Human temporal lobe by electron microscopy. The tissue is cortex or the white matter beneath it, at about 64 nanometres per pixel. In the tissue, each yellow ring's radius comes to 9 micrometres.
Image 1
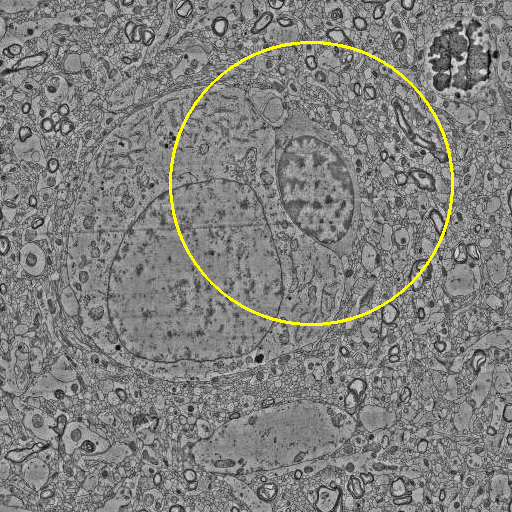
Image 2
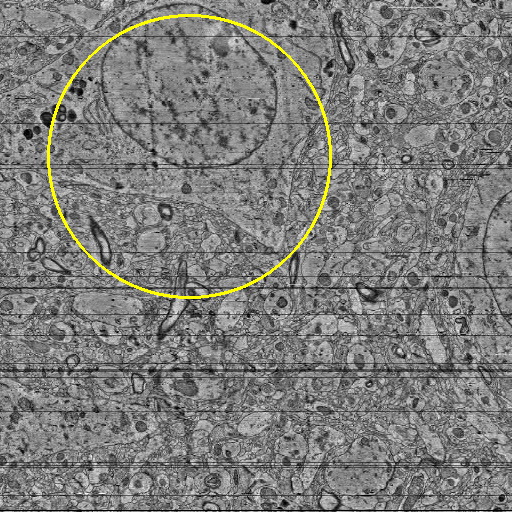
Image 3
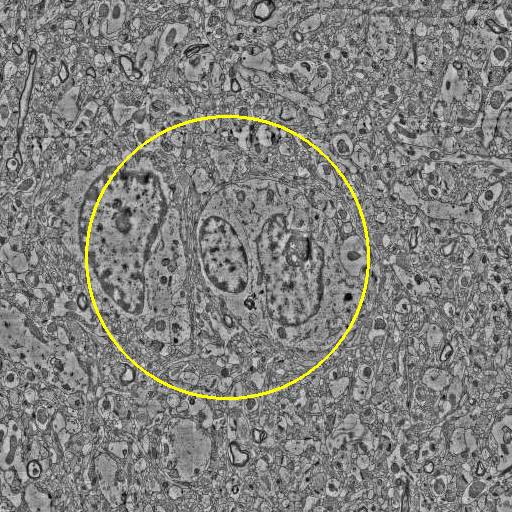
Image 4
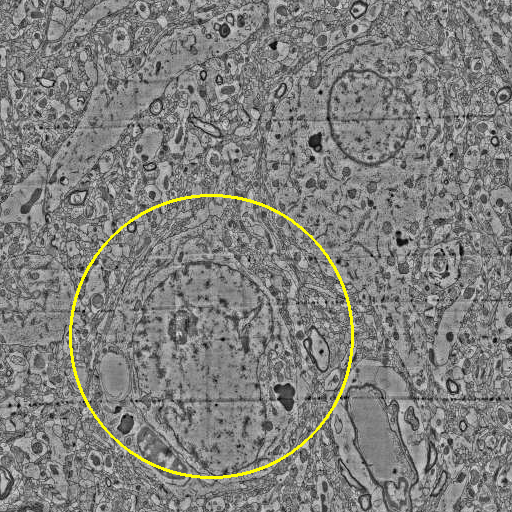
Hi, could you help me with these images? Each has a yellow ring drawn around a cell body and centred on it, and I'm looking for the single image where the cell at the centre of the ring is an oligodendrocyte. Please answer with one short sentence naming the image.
It is Image 1 that has it at the centre of its ring.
